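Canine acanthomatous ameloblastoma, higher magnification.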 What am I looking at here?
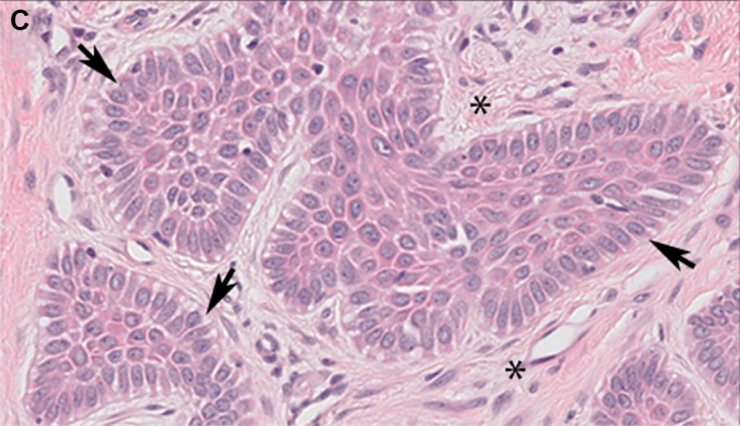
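These are islands of neoplastic odontogenic epithelium set in a pale, loose stroma. Along the edge of each island runs a single row of tall columnar cells whose long axes stand at right angles to the border, a neat palisade. Their oval nuclei sit away from the base, toward the inner side of each cell. Inside this rim the cells are more polygonal, with pink cytoplasm and round to oval purple nuclei. The stroma between the islands is pale and sparsely cellular, with a few small vessels.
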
